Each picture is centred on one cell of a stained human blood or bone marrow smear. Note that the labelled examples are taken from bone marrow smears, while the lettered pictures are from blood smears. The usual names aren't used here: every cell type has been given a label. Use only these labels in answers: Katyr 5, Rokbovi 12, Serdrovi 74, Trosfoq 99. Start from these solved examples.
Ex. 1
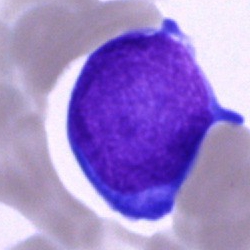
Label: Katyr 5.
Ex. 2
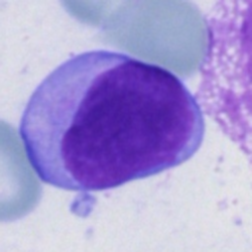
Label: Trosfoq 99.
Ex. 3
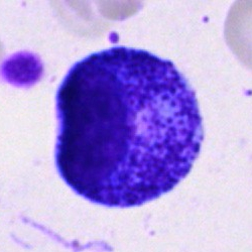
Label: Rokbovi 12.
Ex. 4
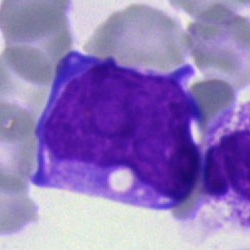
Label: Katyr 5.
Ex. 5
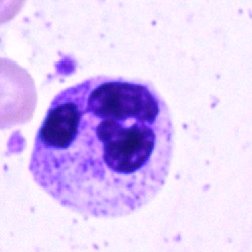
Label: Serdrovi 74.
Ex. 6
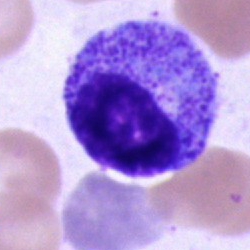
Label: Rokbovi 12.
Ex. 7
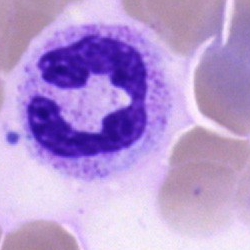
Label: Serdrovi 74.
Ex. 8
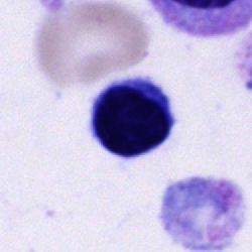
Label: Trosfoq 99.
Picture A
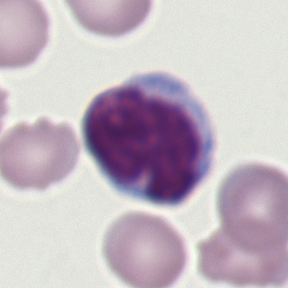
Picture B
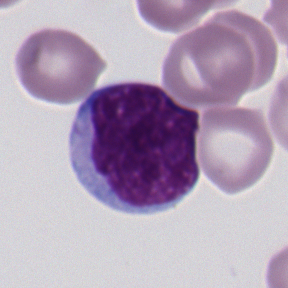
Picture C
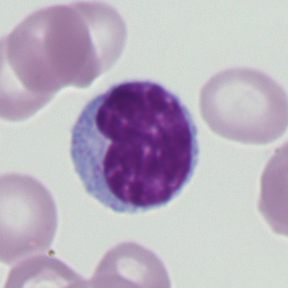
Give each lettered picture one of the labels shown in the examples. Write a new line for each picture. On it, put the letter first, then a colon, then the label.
A: Trosfoq 99.
B: Trosfoq 99.
C: Trosfoq 99.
